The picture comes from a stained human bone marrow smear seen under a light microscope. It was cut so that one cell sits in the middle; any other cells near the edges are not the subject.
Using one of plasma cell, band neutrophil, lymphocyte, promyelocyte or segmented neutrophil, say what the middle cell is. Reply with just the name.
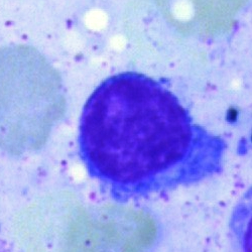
lymphocyte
